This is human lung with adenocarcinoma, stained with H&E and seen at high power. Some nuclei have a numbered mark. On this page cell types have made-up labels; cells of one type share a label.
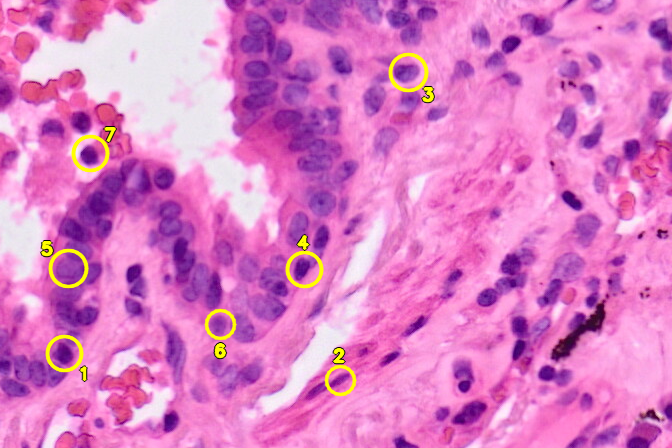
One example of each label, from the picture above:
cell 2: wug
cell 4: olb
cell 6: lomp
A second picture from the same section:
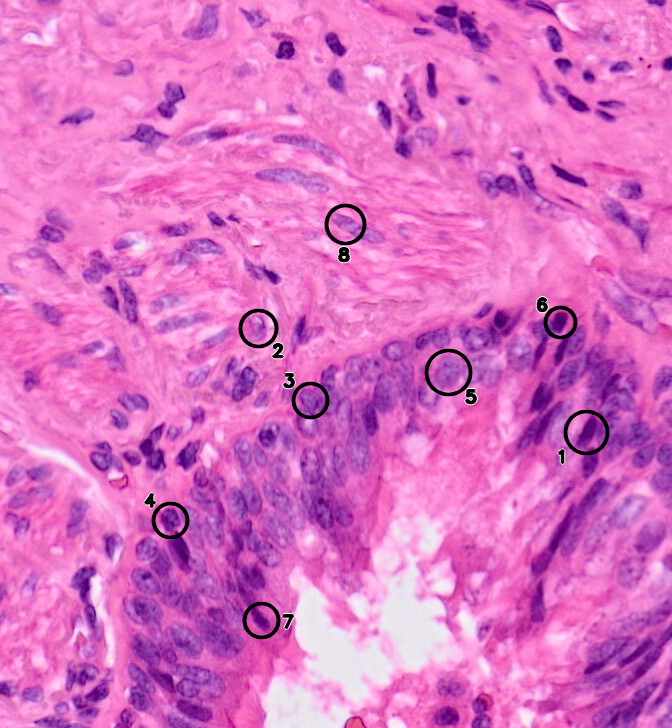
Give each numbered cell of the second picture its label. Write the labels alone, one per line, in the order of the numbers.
lomp
wug
lomp
olb
lomp
lomp
lomp
wug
